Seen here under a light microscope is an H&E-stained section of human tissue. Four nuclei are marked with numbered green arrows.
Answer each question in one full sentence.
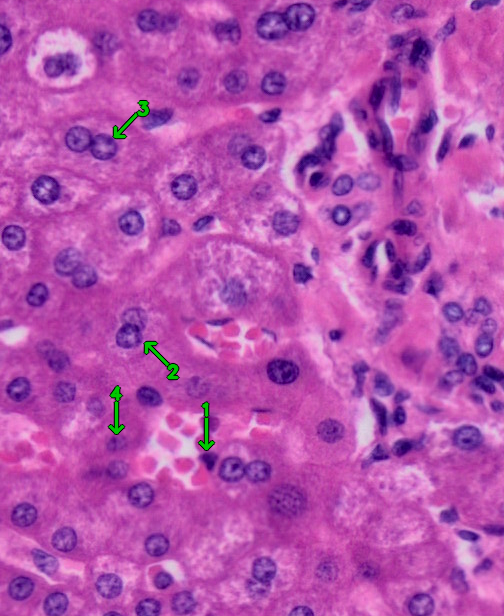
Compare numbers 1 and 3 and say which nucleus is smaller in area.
Number 1 is smaller, since number 3 takes up about 2.5 times as much area.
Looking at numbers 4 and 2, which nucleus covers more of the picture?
Of the two, number 2 is bigger and takes up about 3 times the area of number 4.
